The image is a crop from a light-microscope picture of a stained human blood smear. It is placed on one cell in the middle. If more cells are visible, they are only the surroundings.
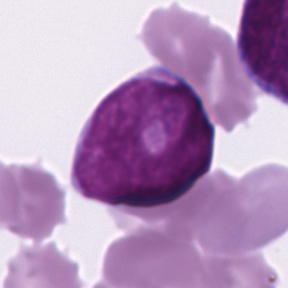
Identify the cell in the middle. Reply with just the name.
myeloblast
